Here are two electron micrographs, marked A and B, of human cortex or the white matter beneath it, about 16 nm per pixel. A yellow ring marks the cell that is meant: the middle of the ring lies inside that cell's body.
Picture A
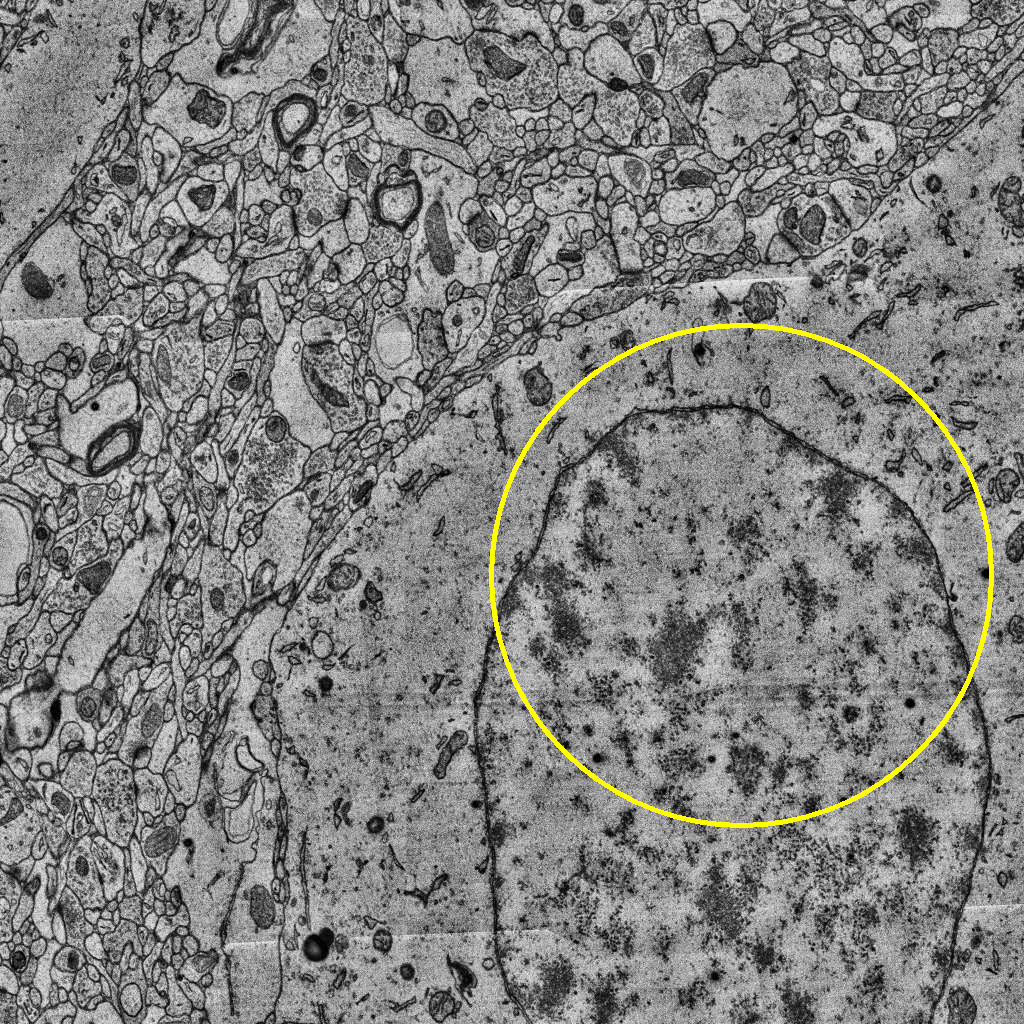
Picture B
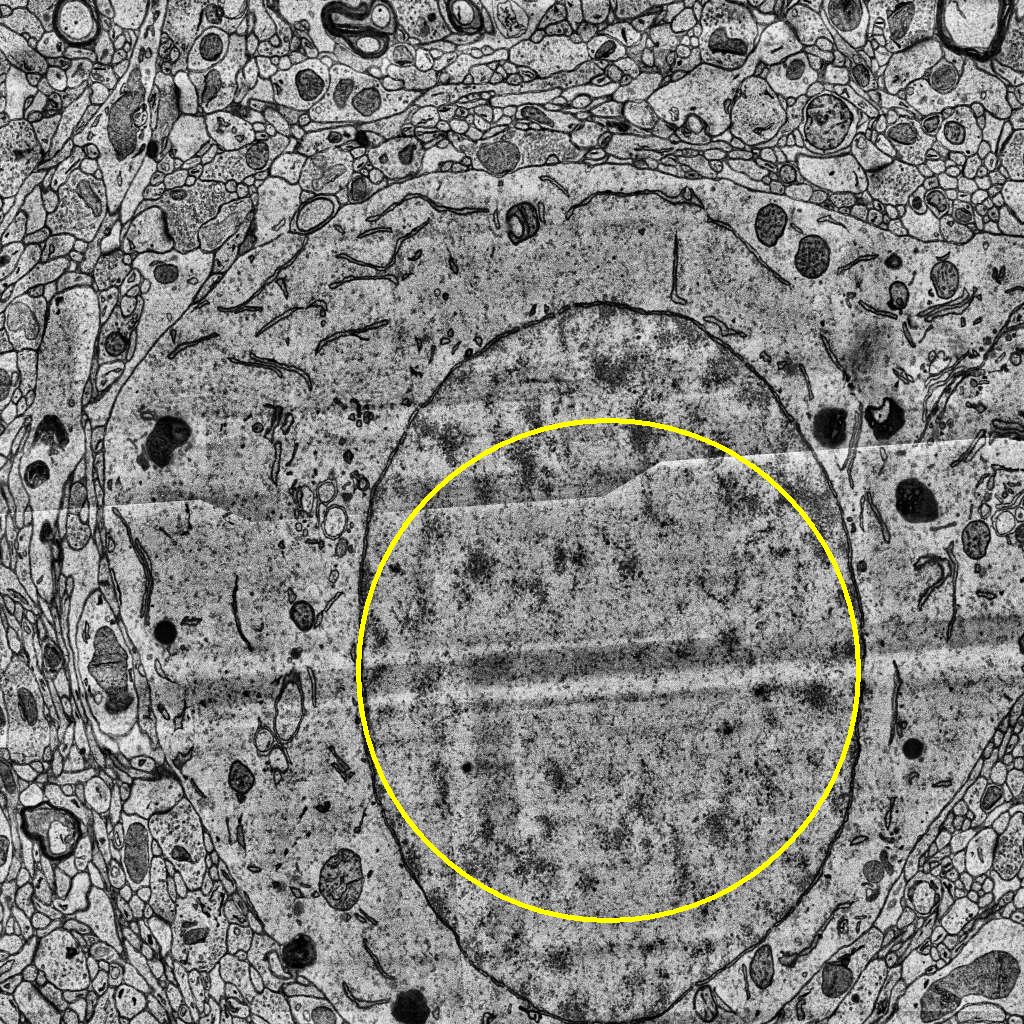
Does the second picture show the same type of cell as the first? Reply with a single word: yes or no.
yes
